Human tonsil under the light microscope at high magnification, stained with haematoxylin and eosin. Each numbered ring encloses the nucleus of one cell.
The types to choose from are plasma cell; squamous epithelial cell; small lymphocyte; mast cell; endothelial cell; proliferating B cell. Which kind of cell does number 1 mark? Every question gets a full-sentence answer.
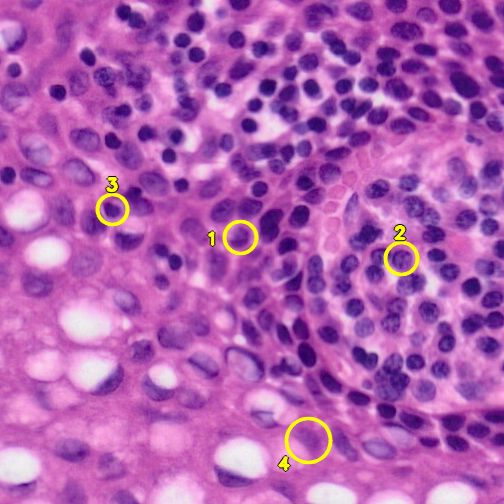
The nucleus marked 1 is the nucleus of a squamous epithelial cell.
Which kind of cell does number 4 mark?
The cell tagged with 4 in this tissue section is a squamous epithelial cell.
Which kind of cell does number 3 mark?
The cell marked with the number 3 is a squamous epithelial cell.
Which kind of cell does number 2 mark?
The cell given label 2 is a plasma cell.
